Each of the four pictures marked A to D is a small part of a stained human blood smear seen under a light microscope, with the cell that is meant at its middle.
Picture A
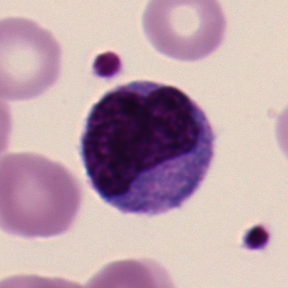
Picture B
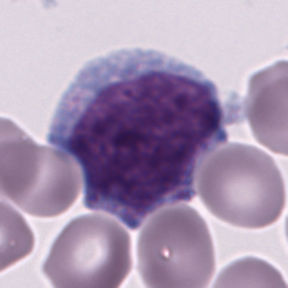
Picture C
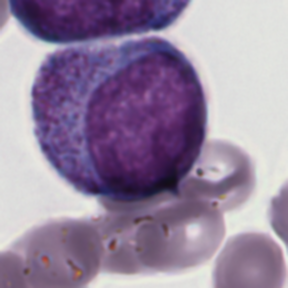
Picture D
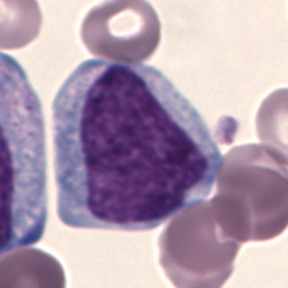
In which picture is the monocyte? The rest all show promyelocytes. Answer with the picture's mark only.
A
